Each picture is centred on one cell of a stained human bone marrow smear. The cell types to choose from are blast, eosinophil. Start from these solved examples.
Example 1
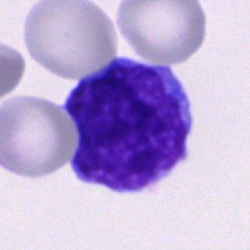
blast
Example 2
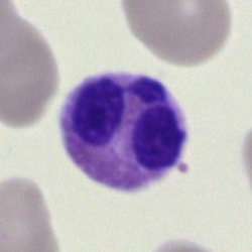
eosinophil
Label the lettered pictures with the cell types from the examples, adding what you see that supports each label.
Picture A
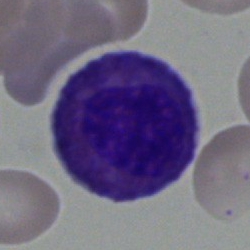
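eosinophil. The chromatin looks coarse and clumped, with darker patches.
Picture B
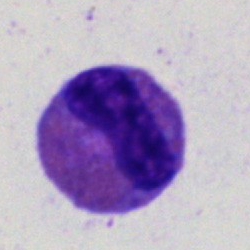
eosinophil. The chromatin is coarse and clumped, with dark purple masses and paler gaps.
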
